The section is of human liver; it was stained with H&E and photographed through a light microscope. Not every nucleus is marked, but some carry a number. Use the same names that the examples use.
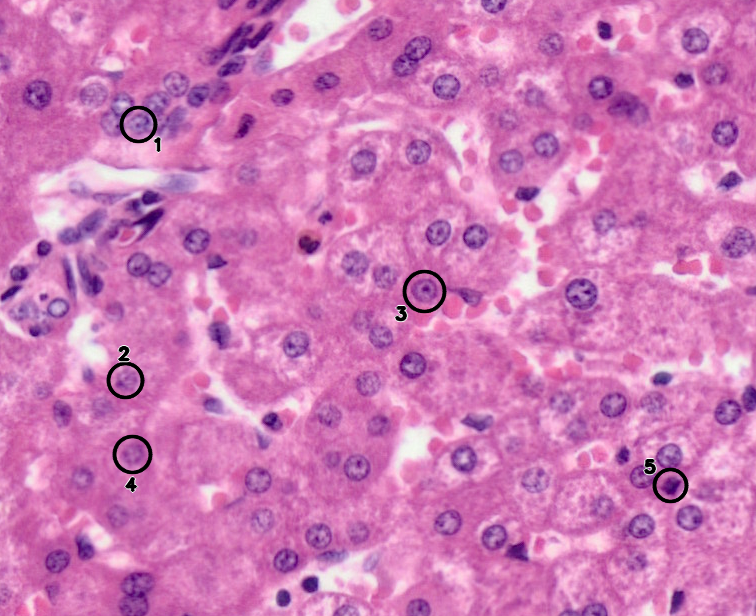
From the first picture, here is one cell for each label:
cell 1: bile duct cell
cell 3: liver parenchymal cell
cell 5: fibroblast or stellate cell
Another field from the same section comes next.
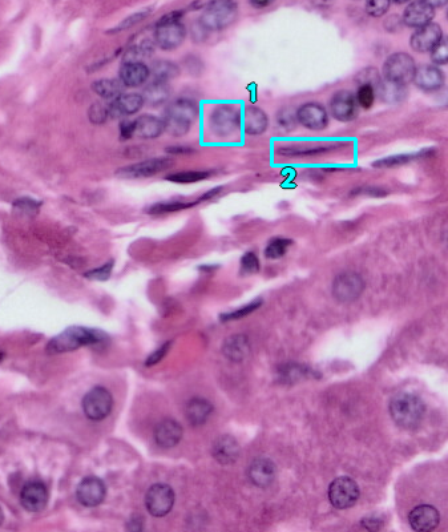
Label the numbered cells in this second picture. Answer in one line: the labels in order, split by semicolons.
bile duct cell; fibroblast or stellate cell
